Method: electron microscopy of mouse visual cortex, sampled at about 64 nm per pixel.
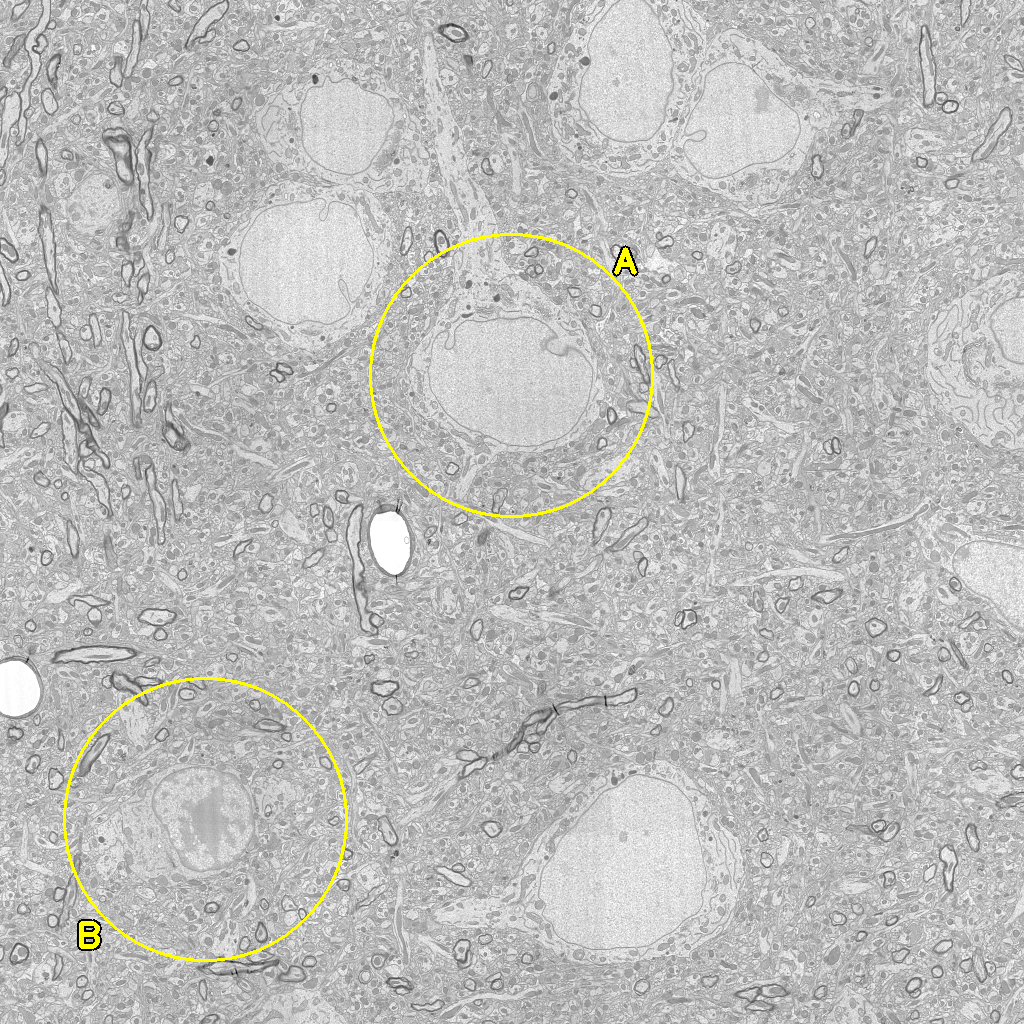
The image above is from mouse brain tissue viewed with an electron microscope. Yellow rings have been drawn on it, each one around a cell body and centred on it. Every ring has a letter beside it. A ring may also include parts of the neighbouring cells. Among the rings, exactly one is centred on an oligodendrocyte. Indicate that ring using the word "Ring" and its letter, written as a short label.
Ring B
